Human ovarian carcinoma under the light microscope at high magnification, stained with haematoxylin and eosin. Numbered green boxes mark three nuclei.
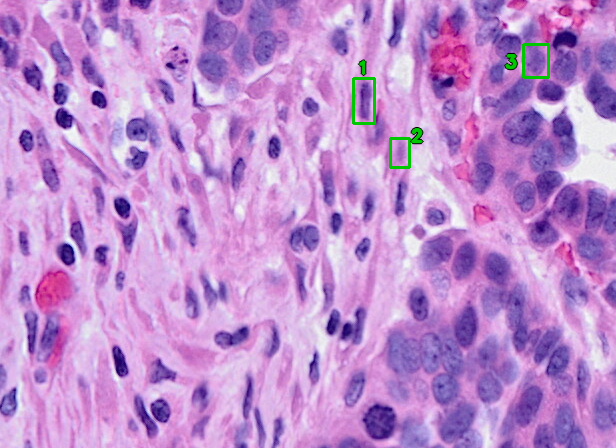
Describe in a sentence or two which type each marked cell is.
Cell 1 is a fibroblast, cell 2 is a fibroblast and cell 3 is a carcinoma cell.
